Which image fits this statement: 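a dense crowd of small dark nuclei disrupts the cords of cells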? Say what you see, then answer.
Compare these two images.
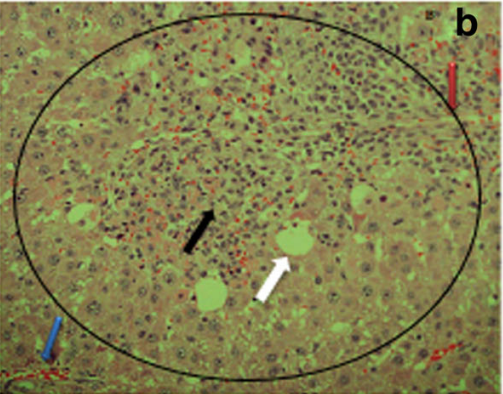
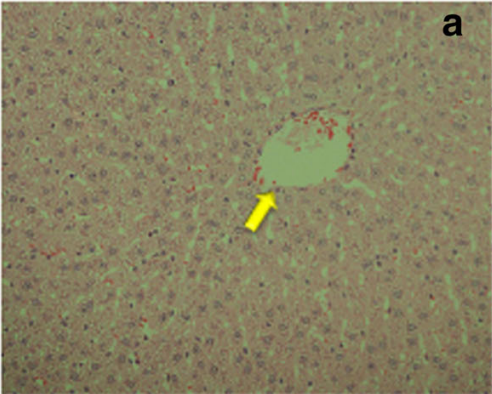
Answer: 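The first image. First image: a large area is packed with small dark nuclei and cell outlines are lost. Second image: evenly spaced polygonal cells with round nuclei form regular cords around a vessel.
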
